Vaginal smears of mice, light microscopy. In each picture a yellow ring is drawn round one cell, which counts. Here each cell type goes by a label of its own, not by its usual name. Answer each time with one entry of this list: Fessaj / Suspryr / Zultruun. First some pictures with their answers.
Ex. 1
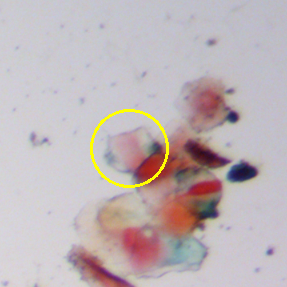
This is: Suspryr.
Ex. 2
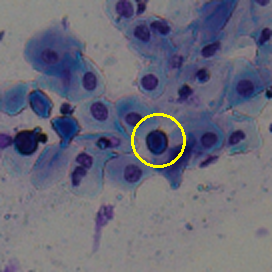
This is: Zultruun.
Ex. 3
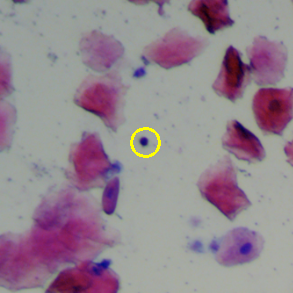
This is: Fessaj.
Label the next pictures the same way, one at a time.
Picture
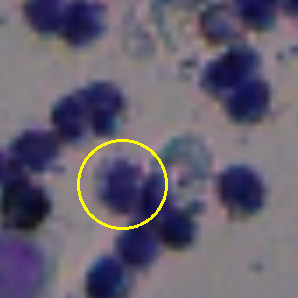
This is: Fessaj.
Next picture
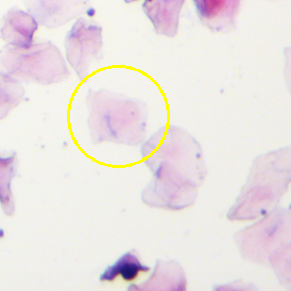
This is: Suspryr.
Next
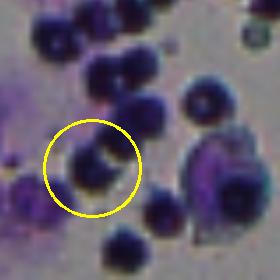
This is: Fessaj.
